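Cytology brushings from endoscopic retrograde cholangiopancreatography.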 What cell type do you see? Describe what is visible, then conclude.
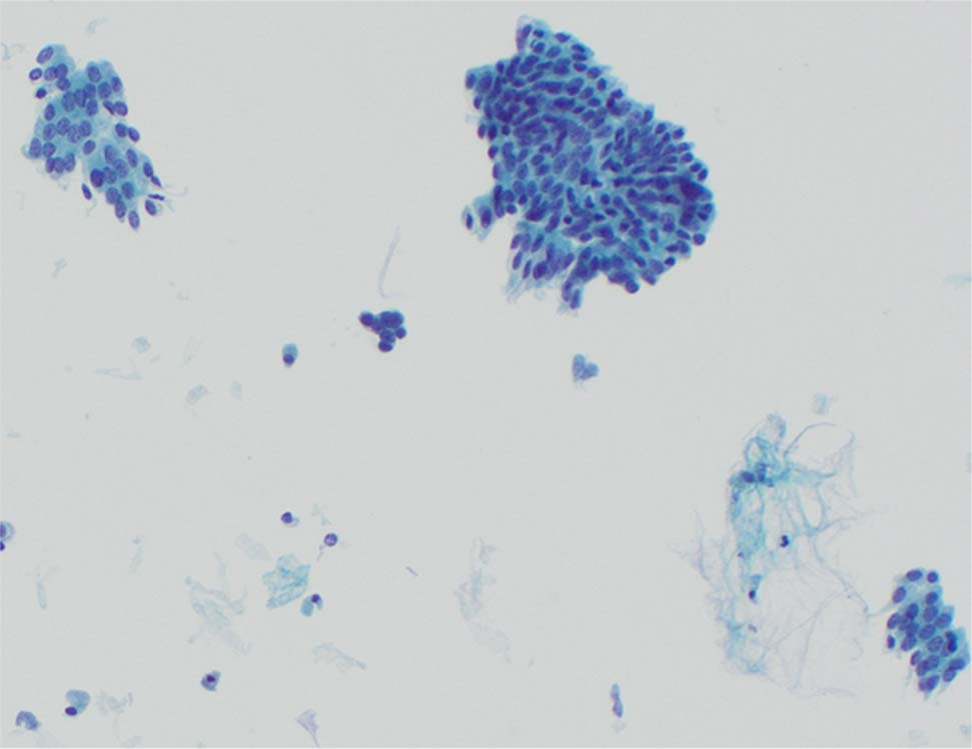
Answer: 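Glandular epithelial cells. Cells lie in cohesive flat clusters rather than singly. Nuclei are oval and fairly uniform in size and shape. Each nucleus is surrounded by pale blue-green cytoplasm.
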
